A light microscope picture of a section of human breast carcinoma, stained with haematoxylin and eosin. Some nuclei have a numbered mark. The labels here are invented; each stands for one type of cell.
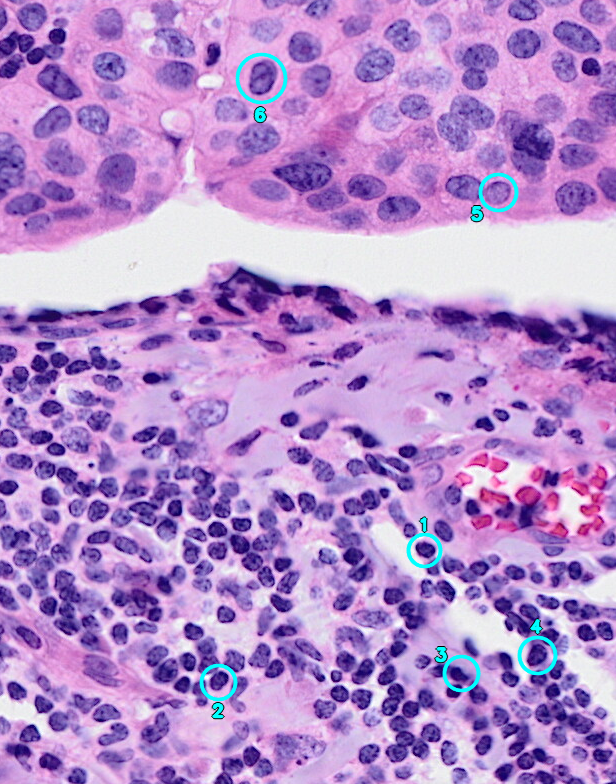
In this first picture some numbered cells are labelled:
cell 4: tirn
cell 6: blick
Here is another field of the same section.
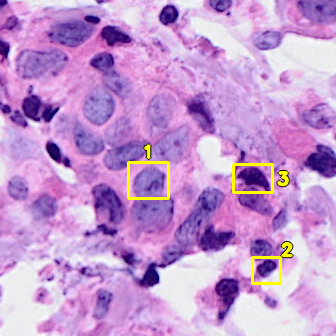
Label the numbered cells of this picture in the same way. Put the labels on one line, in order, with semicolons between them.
blick; tirn; blick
